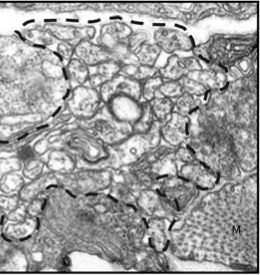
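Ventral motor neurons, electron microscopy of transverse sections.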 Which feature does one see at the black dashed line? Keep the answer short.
main bundle of axons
